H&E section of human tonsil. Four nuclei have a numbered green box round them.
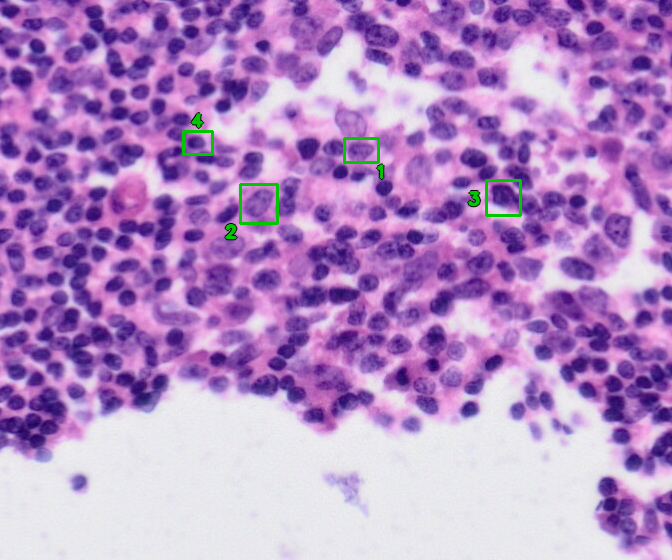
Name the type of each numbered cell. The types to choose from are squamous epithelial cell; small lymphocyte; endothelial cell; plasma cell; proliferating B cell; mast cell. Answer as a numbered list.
1. proliferating B cell
2. proliferating B cell
3. proliferating B cell
4. small lymphocyte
